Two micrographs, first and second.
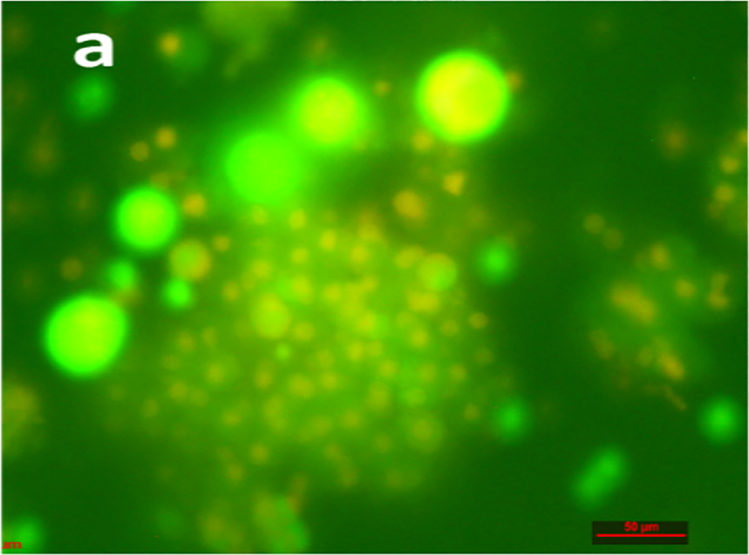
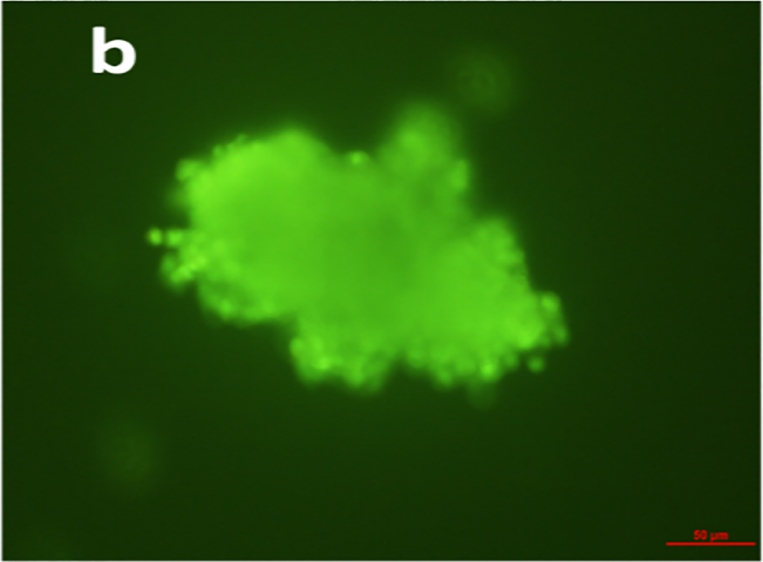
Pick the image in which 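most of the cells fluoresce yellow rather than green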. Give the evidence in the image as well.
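The first image. Second image: a compact cluster of cells fluoresces evenly green, with no yellow cells visible. First image: many small round cells in a loose spread fluoresce yellow to orange, with only some larger green bodies among them.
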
